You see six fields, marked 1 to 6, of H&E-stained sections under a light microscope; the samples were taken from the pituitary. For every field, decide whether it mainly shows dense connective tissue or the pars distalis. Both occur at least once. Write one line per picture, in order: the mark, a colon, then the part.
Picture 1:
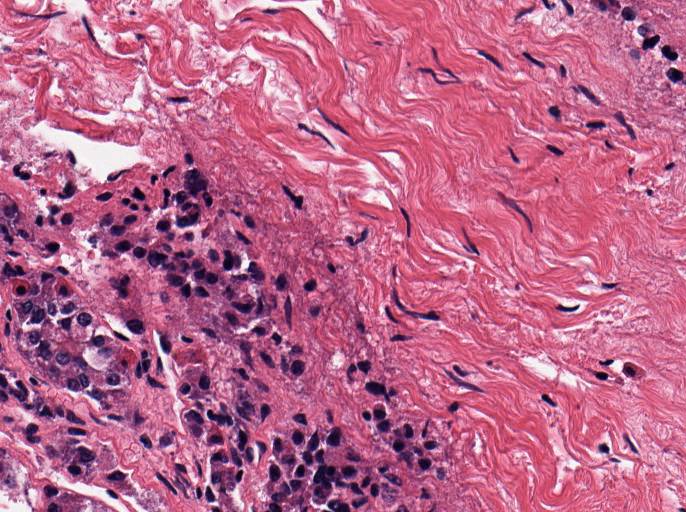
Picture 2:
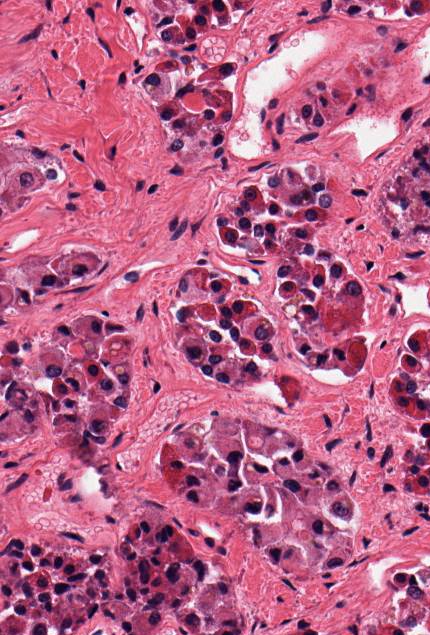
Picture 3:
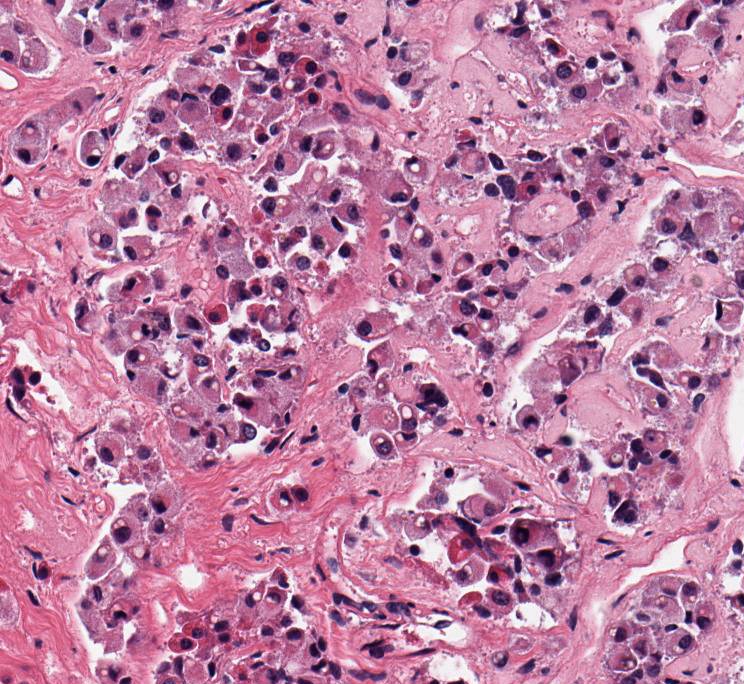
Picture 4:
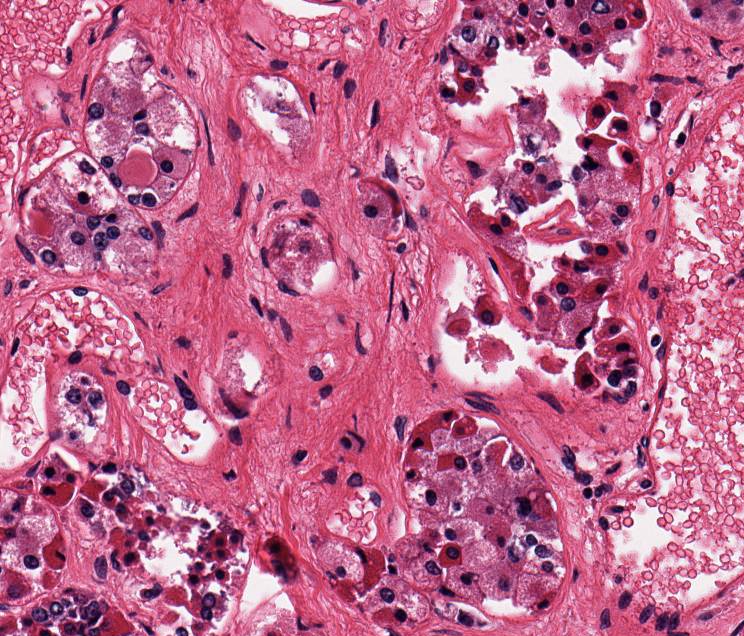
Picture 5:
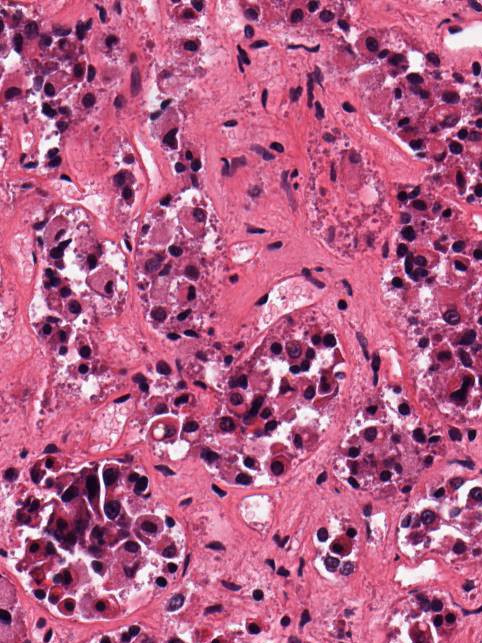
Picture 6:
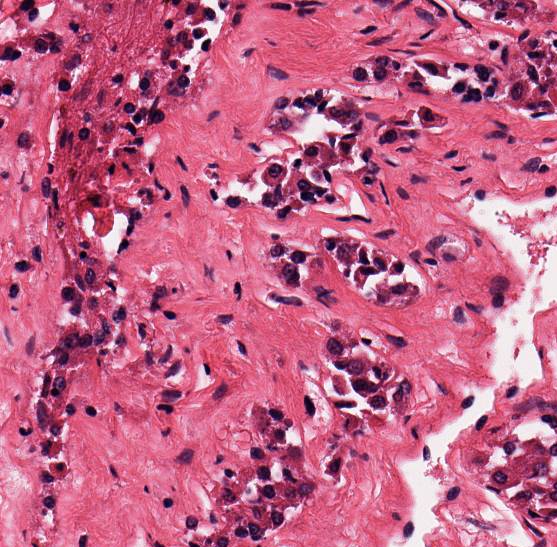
1: dense connective tissue
2: pars distalis
3: pars distalis
4: pars distalis
5: pars distalis
6: dense connective tissue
